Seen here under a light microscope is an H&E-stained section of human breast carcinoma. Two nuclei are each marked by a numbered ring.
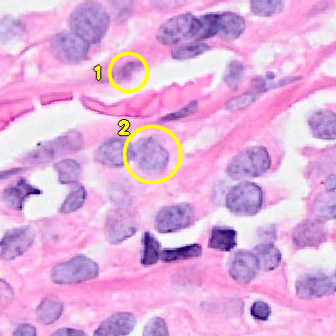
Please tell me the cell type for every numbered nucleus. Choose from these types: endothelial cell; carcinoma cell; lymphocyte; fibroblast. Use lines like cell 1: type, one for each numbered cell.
cell 1: endothelial cell
cell 2: carcinoma cell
